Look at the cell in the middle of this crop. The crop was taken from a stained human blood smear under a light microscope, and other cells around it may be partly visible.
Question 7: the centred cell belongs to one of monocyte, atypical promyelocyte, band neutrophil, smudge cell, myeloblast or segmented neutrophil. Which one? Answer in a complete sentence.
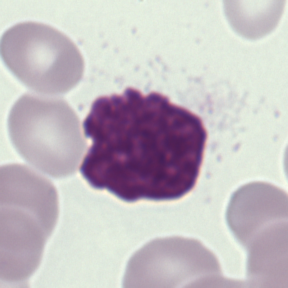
On this slide crop, the central cell is a smudge cell.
